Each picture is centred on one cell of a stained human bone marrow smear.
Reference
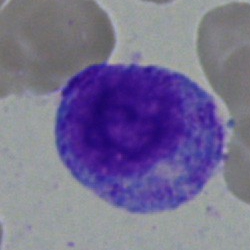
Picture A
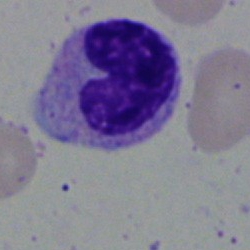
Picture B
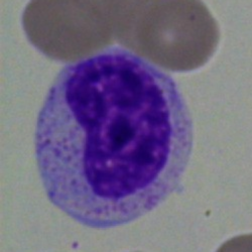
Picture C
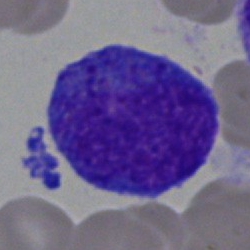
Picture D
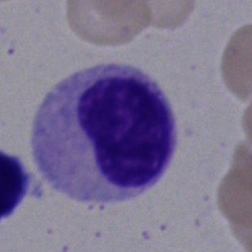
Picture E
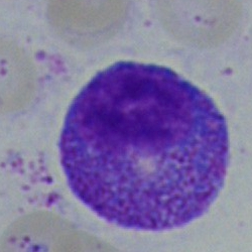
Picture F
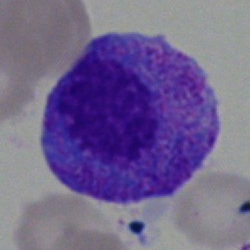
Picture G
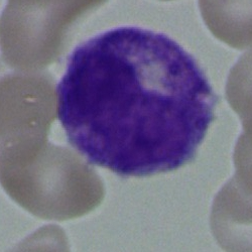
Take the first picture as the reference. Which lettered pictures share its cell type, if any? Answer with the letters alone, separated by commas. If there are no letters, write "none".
C, E, F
